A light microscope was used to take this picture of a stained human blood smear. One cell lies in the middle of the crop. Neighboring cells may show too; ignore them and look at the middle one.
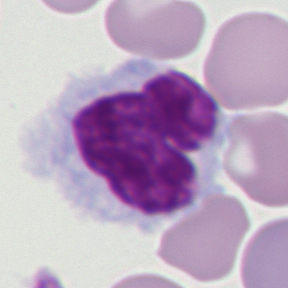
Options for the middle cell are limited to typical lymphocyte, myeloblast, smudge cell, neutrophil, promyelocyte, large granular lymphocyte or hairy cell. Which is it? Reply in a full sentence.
To answer, the cell in the center of the crop is a hairy cell.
